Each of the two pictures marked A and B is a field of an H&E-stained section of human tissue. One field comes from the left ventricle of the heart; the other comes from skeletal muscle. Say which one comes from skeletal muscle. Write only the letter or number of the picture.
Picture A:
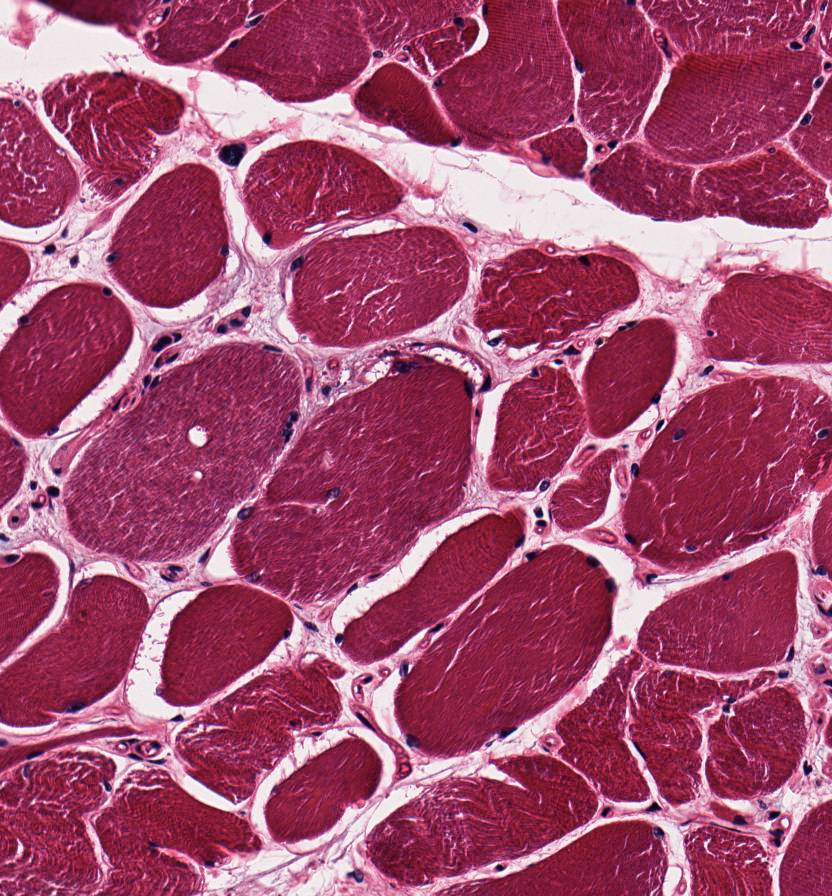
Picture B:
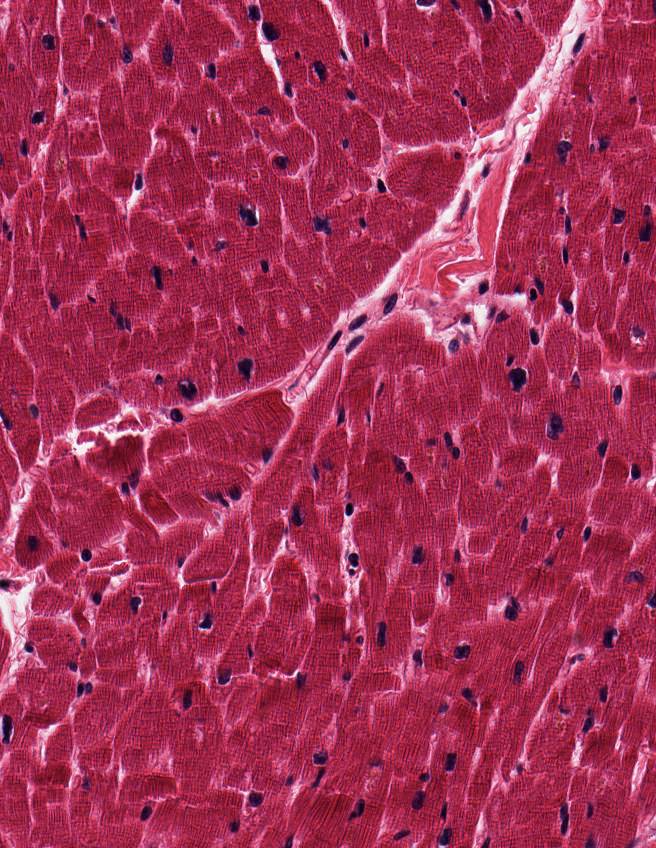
A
